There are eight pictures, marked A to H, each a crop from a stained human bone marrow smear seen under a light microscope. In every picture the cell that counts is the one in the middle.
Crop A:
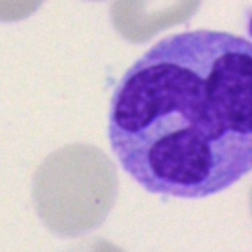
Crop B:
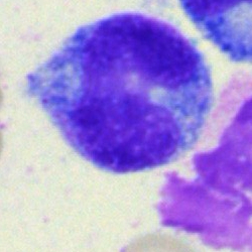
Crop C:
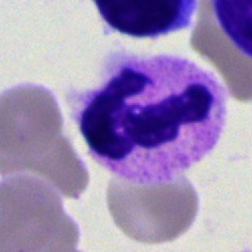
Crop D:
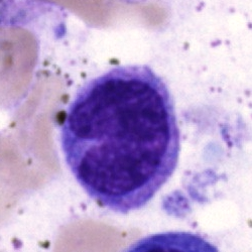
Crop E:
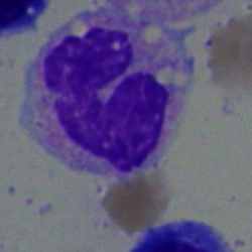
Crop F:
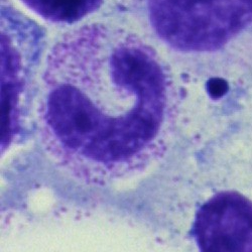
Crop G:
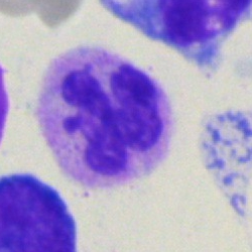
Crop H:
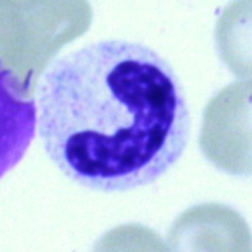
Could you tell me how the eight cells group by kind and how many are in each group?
monocyte: 3
segmented neutrophil: 3
band neutrophil: 2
